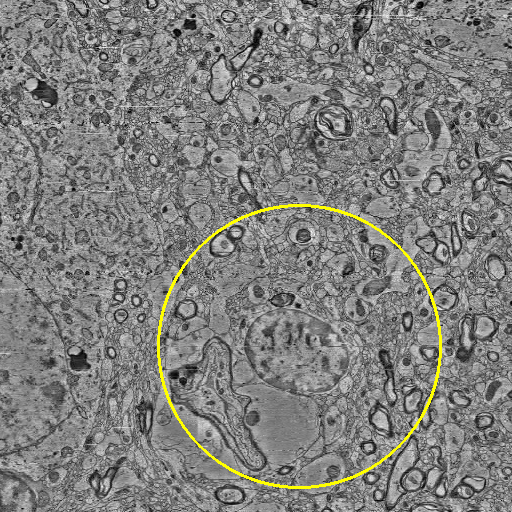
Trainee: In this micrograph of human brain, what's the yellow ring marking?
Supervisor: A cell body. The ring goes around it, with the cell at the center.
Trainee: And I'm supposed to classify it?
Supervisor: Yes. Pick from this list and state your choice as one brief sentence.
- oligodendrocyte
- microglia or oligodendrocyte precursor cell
The cell at the ring's center is a microglial cell or oligodendrocyte precursor cell.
